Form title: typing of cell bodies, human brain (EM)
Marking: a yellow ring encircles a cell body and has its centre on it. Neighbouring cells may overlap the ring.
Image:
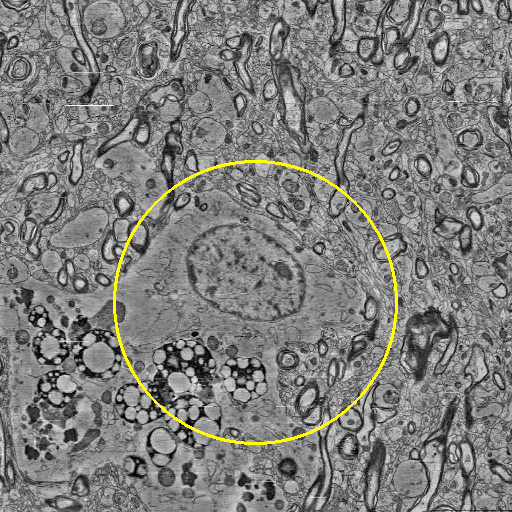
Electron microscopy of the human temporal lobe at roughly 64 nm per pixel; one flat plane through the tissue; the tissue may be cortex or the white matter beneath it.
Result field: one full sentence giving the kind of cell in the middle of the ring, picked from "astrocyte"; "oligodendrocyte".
In the picture, the ring is centred on an astrocyte, whose cell body it encircles.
